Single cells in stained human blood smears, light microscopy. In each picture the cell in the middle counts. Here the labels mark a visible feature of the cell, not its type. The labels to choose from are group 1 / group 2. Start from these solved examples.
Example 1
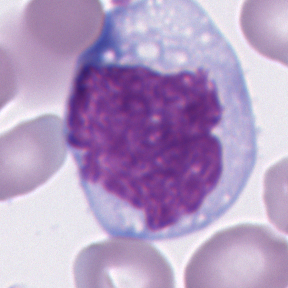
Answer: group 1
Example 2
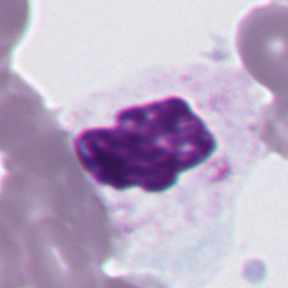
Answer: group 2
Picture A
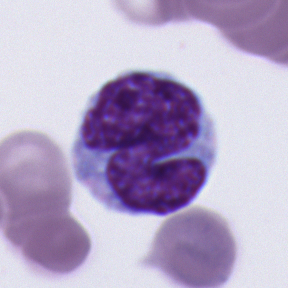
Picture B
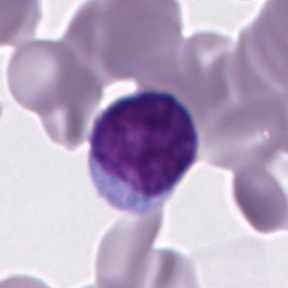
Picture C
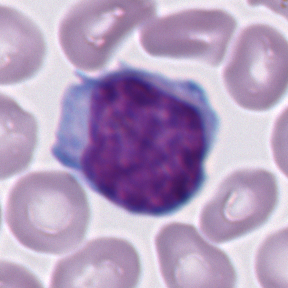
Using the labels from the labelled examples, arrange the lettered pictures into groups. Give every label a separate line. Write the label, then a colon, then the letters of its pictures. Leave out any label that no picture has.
group 1: A, B
group 2: C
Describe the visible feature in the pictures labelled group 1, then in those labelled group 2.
In group 1: smooth outline. In group 2: ragged outline or projections.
